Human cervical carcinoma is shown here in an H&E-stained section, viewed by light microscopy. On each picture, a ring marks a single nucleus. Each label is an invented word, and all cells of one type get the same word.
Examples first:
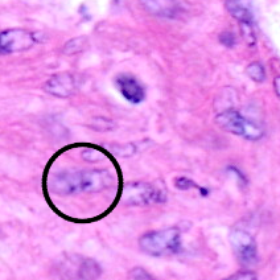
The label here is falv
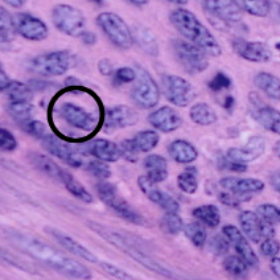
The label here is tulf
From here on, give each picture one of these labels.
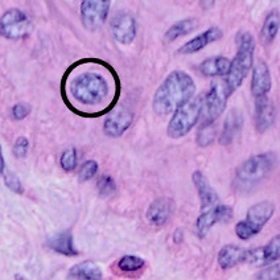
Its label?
falv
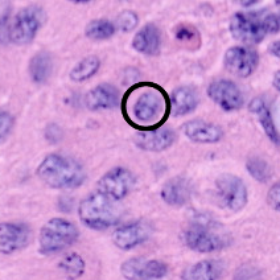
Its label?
tulf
